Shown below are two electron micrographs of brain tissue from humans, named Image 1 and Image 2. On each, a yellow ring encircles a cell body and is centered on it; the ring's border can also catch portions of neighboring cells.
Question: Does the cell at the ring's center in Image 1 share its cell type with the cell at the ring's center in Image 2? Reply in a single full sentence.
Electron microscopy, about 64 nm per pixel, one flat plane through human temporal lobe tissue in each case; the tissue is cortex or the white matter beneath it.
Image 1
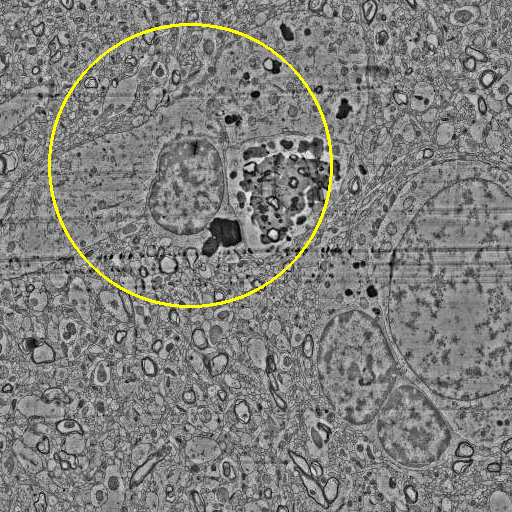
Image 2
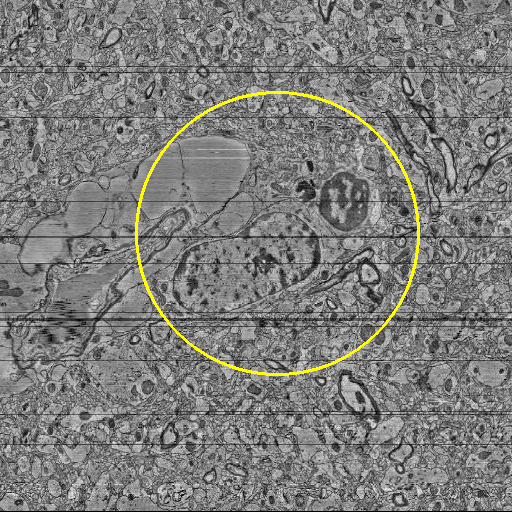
No, the two cells at the ring centers, in Image 1 and Image 2, are of two cell types.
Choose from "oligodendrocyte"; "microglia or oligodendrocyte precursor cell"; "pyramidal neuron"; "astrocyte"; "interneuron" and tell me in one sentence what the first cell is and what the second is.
What the first ring is centred on is an oligodendrocyte; what the second ring is centred on is a microglial cell or oligodendrocyte precursor cell.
